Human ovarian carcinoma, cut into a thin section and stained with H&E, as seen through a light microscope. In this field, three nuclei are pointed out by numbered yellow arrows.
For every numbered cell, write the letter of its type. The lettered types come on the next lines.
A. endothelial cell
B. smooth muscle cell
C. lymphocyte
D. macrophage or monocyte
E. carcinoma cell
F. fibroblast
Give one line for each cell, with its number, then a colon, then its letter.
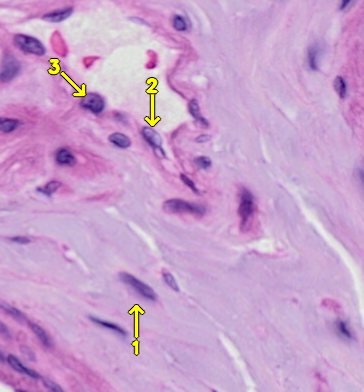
1: F
2: A
3: A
